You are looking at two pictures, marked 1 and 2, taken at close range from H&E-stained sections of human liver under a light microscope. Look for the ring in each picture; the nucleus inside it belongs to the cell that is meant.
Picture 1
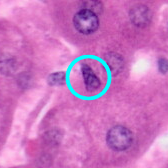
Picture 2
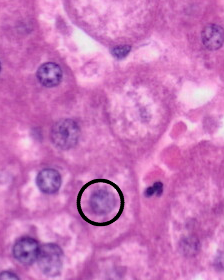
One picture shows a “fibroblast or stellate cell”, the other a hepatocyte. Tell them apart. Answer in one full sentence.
Picture 2 shows a hepatocyte, while picture 1 shows a “fibroblast or stellate cell”.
